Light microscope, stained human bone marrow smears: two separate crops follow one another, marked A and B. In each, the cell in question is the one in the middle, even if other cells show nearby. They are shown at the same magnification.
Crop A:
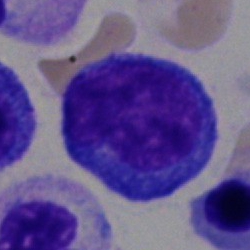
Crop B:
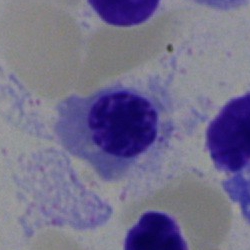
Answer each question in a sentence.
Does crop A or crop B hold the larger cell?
Larger is the cell in crop A, at roughly 2.5 times the area of the other.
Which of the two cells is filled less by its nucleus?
In crop B the nucleus takes up the smaller part of its cell.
